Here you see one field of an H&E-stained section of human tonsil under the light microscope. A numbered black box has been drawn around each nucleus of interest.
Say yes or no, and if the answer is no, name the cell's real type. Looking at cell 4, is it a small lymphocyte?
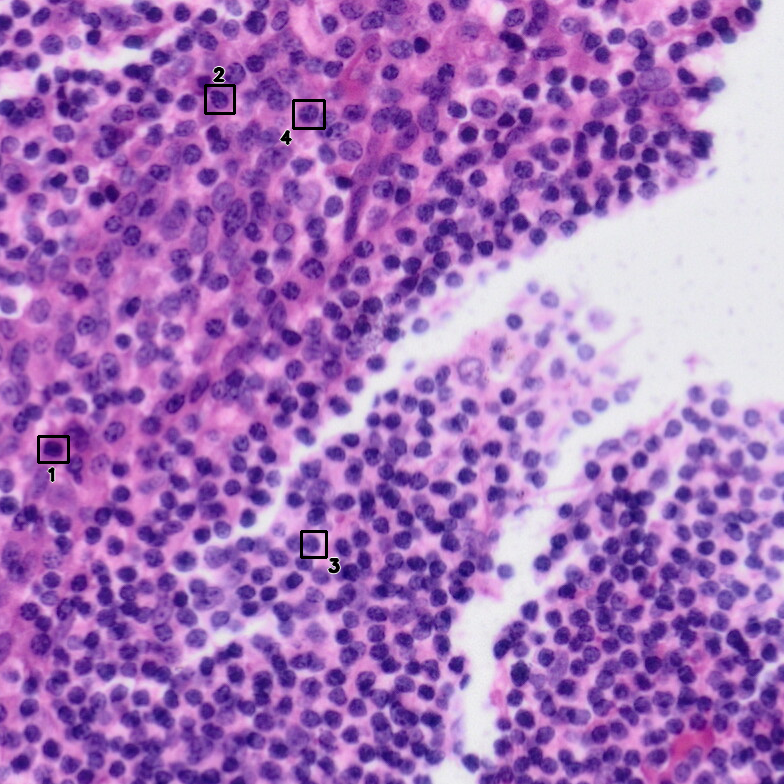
No, it is a plasma cell.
